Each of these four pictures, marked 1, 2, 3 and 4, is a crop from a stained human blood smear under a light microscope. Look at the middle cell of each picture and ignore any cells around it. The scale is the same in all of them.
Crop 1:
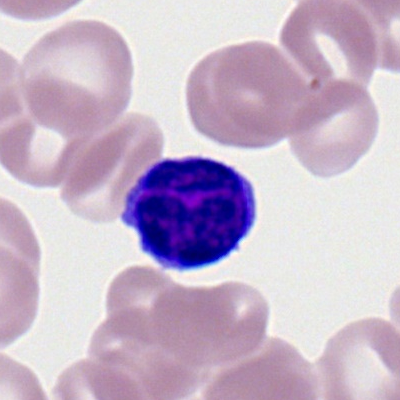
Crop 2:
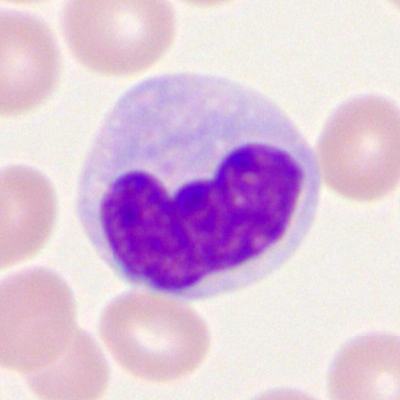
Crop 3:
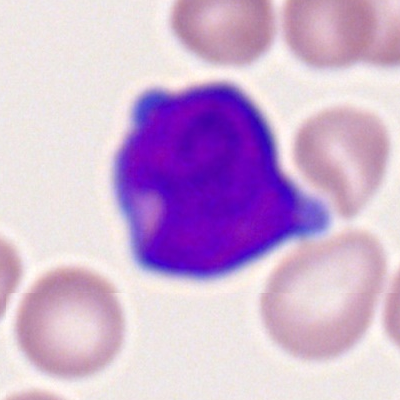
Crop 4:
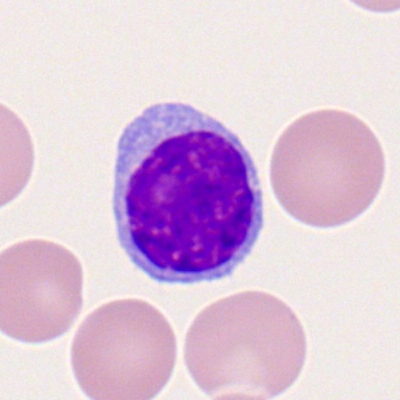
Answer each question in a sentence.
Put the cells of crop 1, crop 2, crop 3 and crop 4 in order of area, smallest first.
Going up, they run 1, 4, 3, 2.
